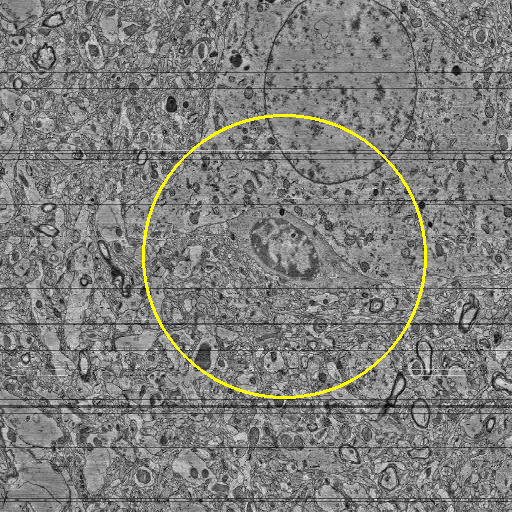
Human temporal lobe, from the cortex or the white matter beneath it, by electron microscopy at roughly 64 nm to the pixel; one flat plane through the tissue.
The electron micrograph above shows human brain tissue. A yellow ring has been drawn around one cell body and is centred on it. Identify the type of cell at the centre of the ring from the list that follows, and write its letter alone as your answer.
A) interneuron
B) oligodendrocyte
B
